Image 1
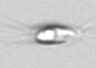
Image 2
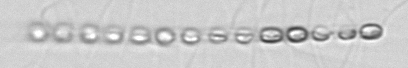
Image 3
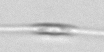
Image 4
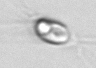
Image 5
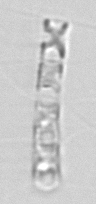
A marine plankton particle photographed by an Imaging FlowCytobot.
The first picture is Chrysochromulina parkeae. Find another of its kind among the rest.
Picture 4.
